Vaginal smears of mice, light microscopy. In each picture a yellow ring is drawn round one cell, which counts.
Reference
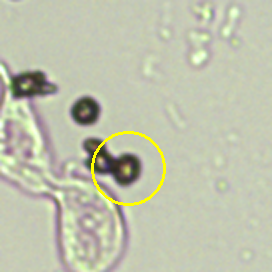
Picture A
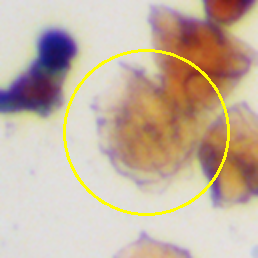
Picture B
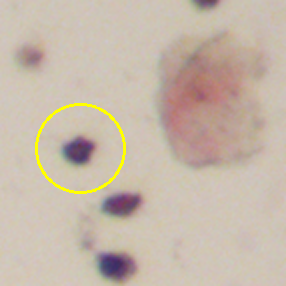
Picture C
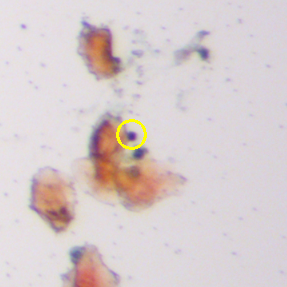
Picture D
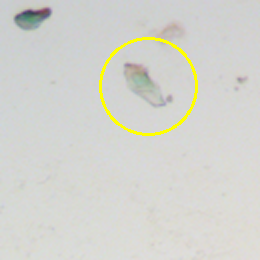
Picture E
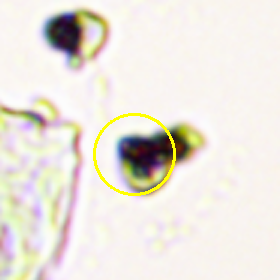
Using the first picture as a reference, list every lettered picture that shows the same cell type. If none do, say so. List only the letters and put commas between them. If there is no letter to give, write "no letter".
B, C, E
